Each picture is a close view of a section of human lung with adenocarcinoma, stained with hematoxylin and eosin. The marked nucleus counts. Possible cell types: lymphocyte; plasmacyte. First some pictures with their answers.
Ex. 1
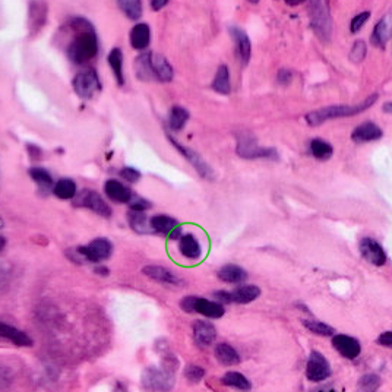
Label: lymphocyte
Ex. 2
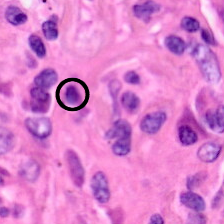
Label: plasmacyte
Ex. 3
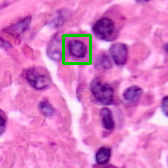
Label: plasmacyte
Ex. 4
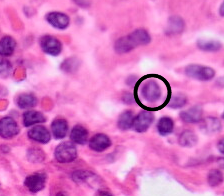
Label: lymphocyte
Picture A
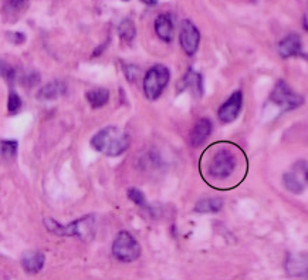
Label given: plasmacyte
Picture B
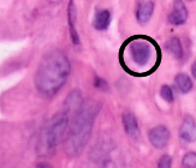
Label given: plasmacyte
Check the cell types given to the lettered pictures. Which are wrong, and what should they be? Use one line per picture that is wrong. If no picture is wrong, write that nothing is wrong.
B should be lymphocyte, not plasmacyte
